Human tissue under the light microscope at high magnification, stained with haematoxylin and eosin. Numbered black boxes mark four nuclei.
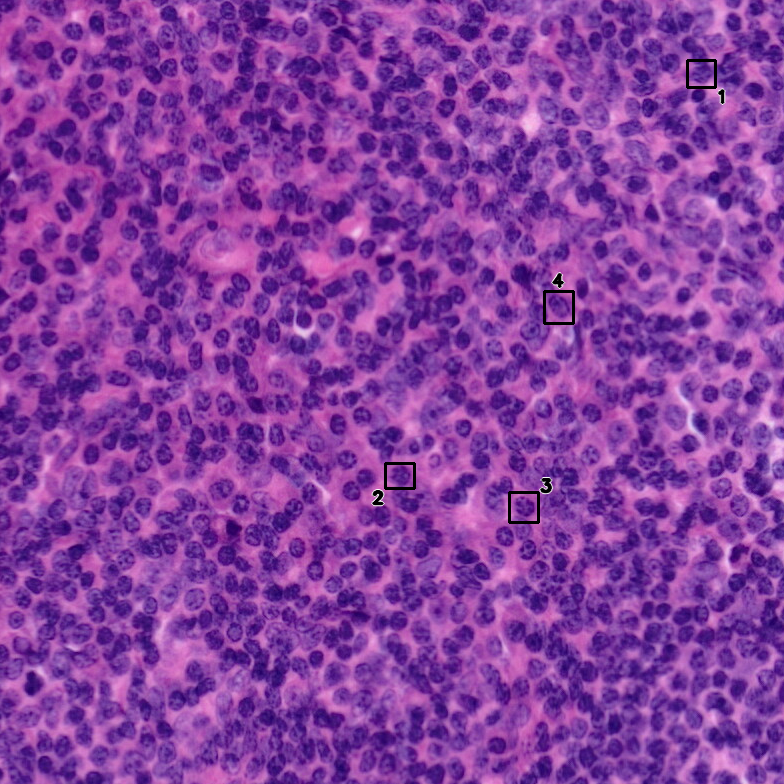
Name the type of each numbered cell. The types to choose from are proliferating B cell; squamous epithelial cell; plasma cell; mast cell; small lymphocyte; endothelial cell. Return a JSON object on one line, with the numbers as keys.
{"1": "small lymphocyte", "2": "plasma cell", "3": "plasma cell", "4": "plasma cell"}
